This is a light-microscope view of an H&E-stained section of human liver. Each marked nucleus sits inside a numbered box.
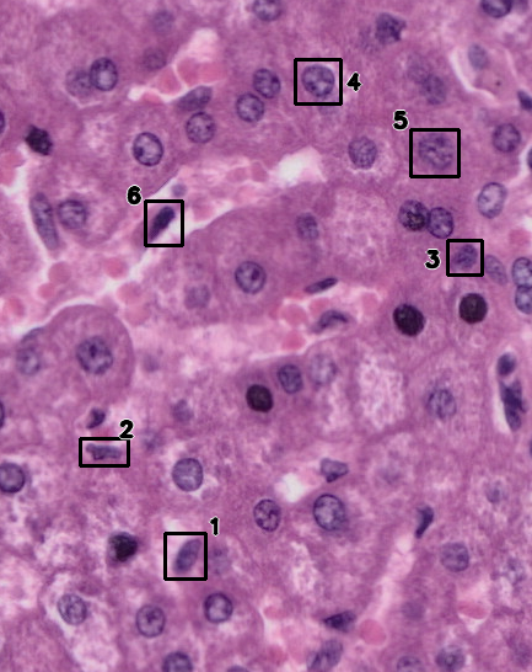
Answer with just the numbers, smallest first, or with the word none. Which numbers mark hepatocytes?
4, 5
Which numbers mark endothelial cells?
2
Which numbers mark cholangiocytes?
3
